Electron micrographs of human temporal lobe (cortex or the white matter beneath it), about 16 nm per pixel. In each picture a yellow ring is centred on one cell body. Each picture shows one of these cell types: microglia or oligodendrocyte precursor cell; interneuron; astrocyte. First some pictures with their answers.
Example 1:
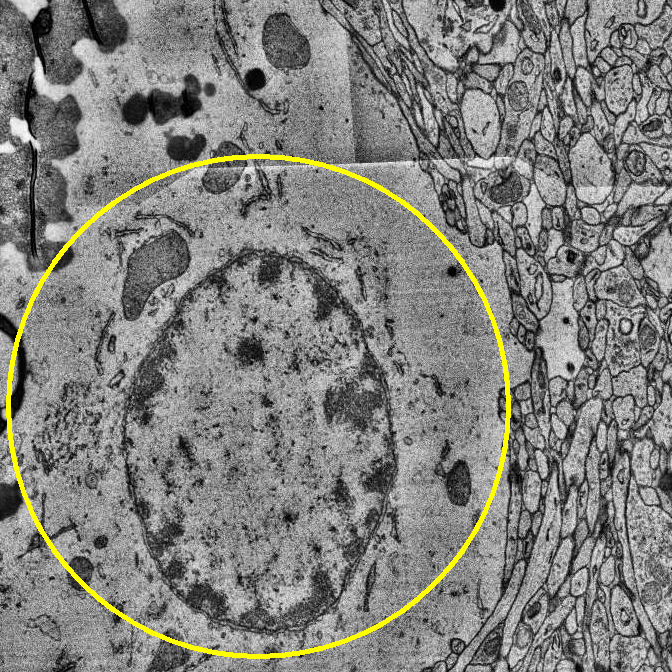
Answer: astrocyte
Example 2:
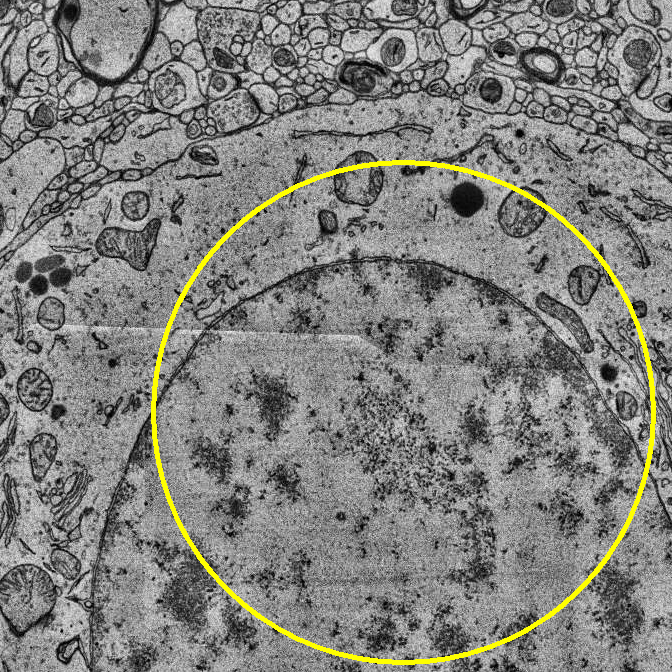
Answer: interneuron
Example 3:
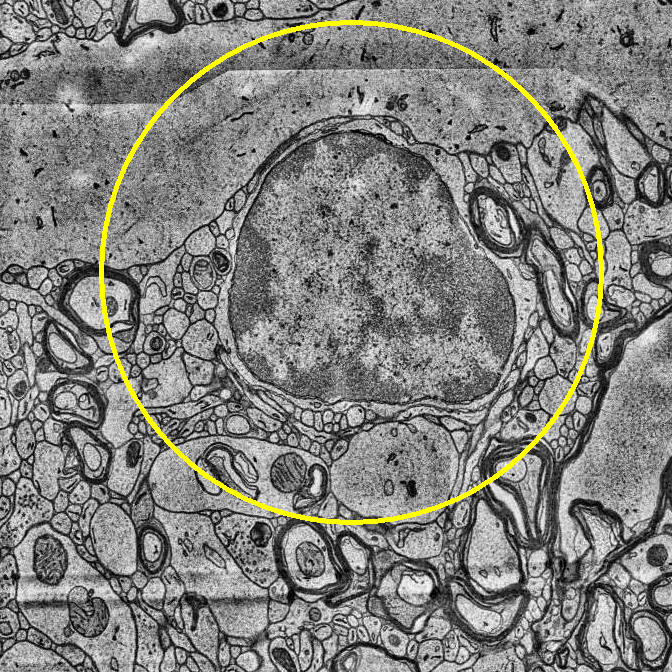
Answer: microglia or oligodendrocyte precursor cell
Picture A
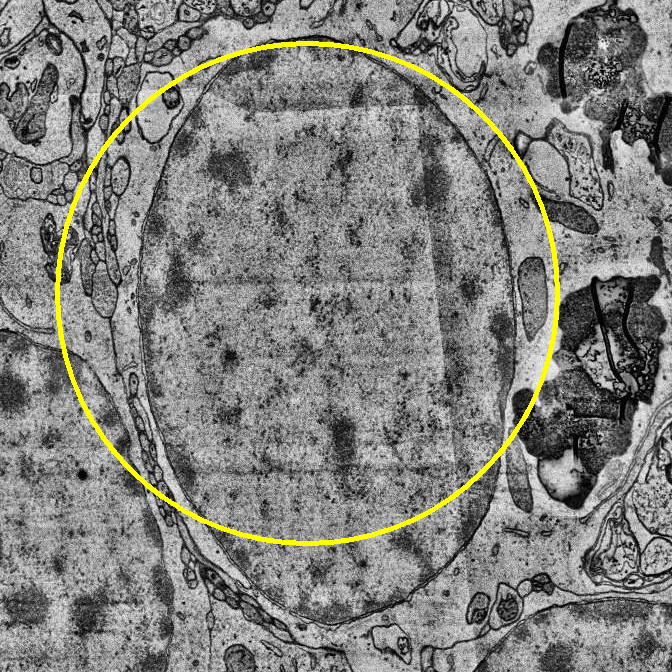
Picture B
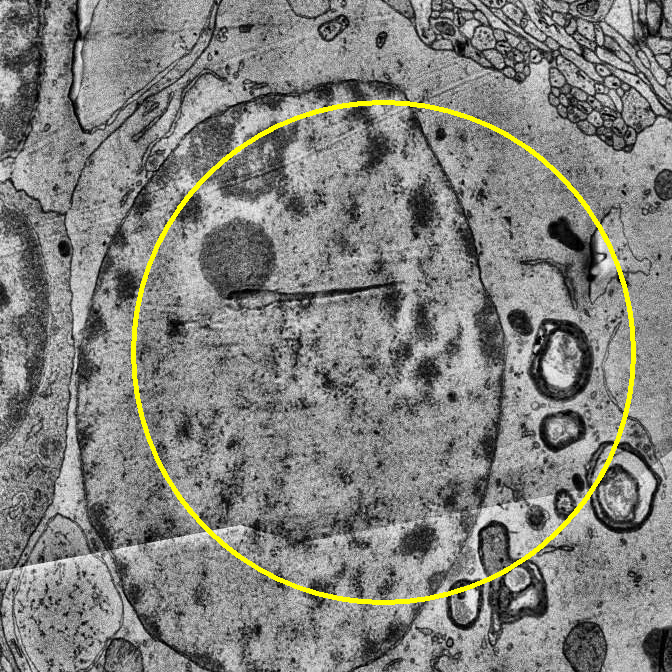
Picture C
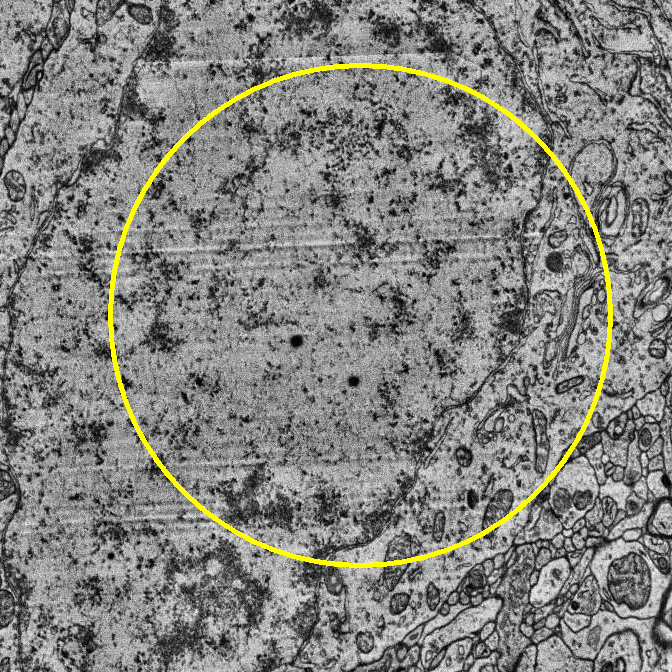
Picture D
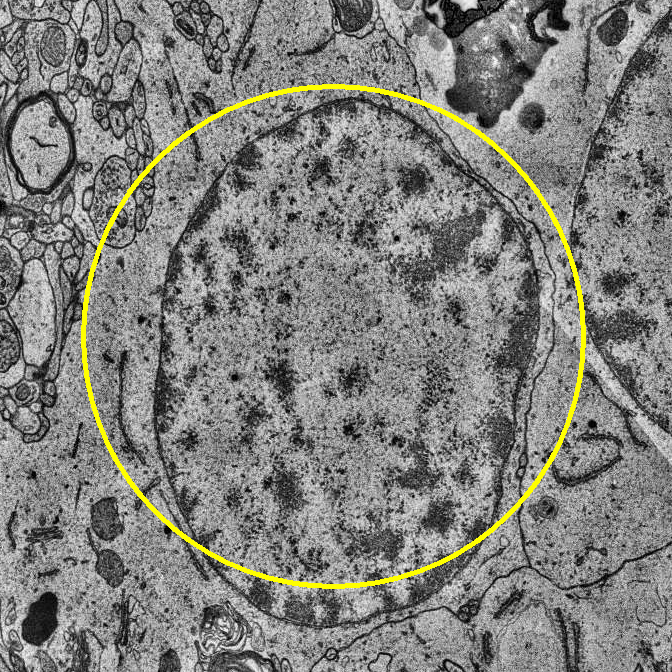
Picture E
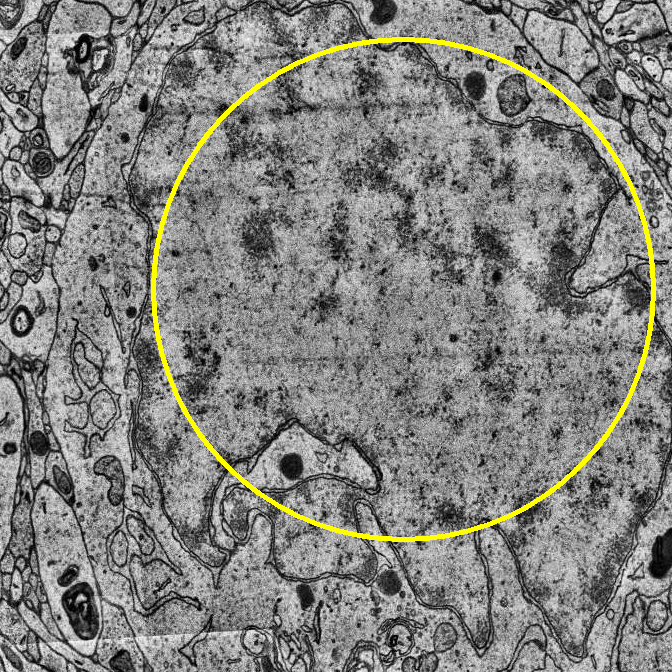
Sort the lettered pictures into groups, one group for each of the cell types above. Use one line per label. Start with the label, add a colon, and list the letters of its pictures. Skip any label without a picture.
interneuron: C, E
astrocyte: A, B, D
